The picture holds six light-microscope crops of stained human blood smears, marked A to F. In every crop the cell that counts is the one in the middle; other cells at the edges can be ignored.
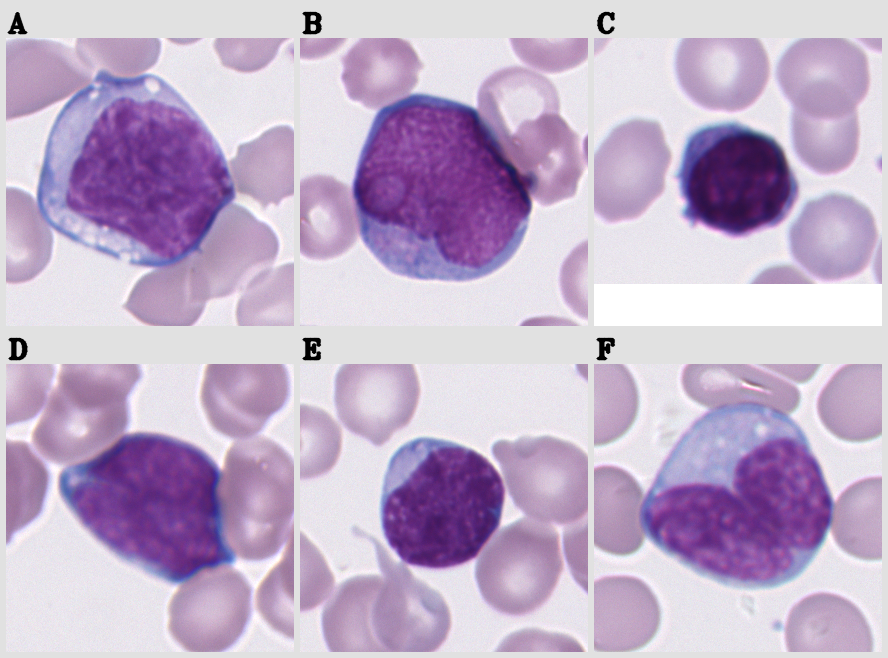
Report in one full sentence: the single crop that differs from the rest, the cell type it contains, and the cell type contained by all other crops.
The crop that differs is C, which is a typical lymphocyte; the rest are myeloblasts.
